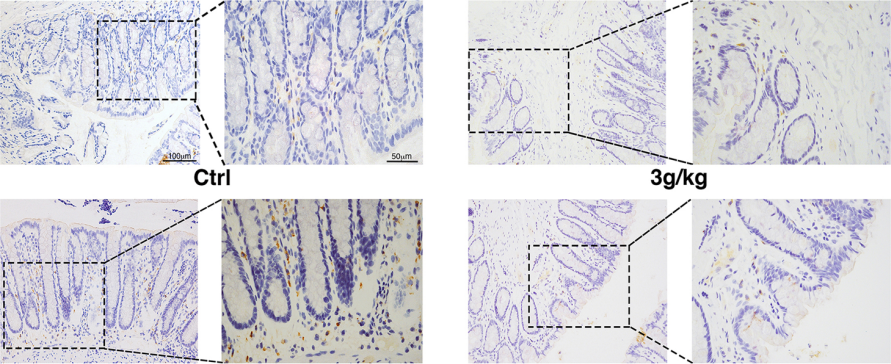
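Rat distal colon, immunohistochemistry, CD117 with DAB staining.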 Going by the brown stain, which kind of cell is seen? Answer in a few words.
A: mast cells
